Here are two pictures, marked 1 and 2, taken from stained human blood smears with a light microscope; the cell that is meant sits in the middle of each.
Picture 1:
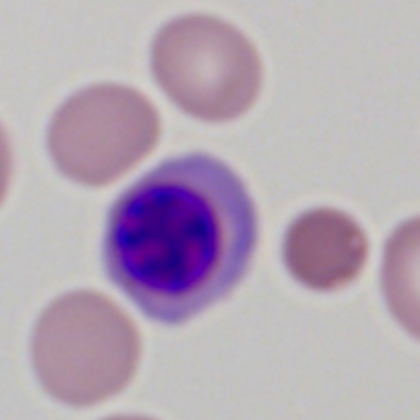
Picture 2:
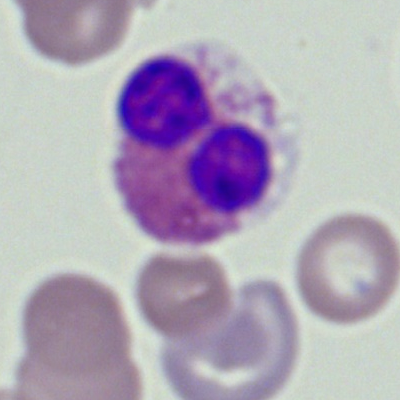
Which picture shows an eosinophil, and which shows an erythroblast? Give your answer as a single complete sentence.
The cell in picture 1 is an erythroblast, and the one in picture 2 is an eosinophil.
